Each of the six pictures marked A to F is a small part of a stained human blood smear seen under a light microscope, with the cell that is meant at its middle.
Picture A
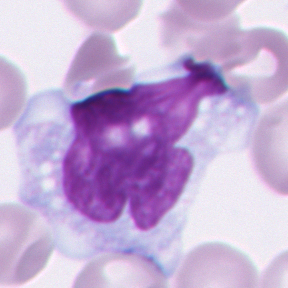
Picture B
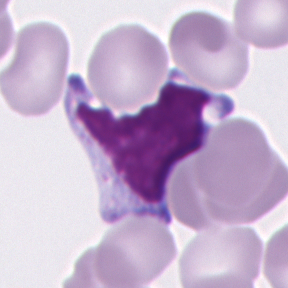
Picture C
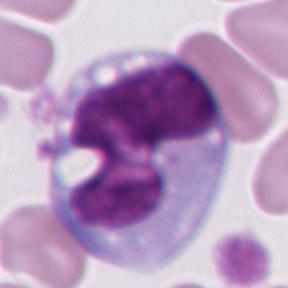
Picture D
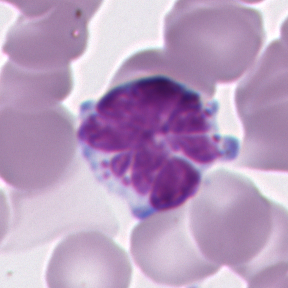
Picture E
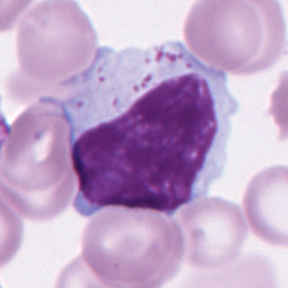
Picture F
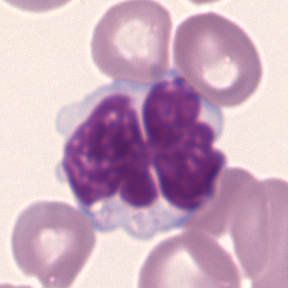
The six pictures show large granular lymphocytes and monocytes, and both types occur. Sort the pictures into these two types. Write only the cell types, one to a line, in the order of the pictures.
monocyte
large granular lymphocyte
monocyte
large granular lymphocyte
large granular lymphocyte
large granular lymphocyte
